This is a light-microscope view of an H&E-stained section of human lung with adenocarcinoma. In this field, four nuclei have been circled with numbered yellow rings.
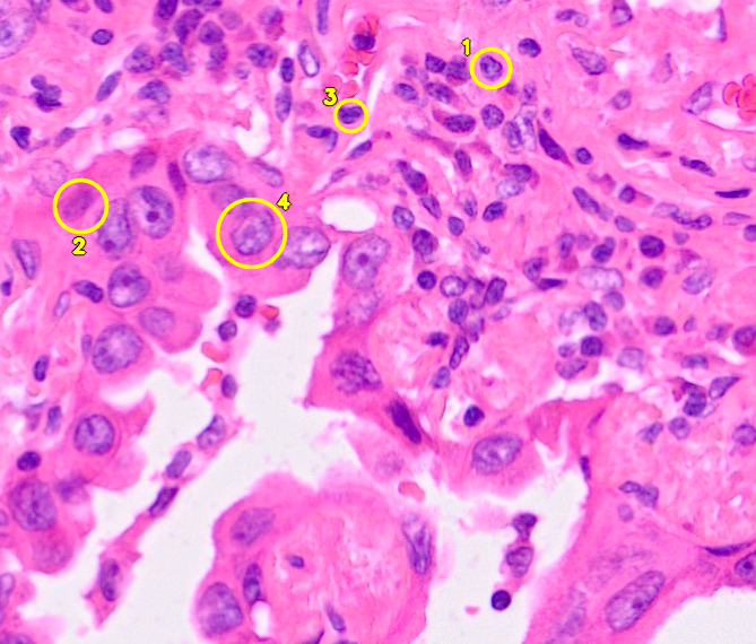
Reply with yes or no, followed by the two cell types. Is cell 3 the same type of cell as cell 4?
No; cell 3 is a lymphocyte, whereas cell 4 is a carcinoma cell.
